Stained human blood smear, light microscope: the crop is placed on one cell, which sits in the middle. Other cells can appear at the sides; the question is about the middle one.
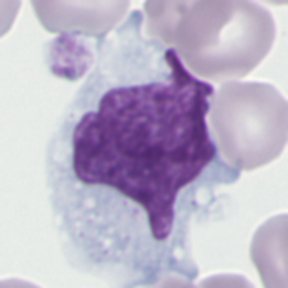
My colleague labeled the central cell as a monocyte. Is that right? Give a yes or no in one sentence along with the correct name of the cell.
Yes, the cell in the center of the field is a monocyte.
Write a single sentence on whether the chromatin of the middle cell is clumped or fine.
The chromatin is fine; coarse clumps are not a feature here.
